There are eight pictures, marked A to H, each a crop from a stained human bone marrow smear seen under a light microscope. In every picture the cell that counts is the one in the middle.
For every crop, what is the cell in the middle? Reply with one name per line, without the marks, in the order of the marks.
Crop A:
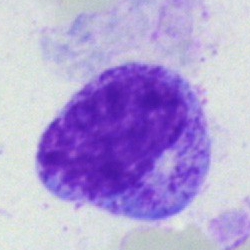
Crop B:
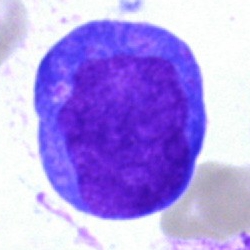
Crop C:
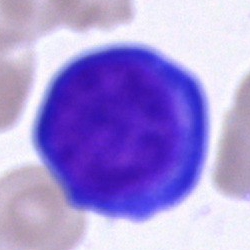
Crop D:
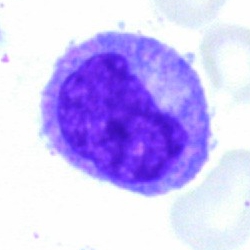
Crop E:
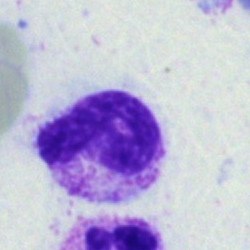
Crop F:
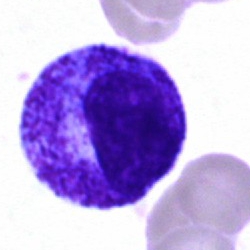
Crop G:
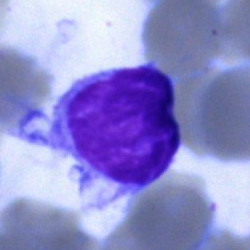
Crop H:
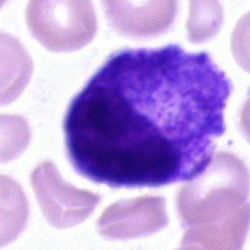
myelocyte
promyelocyte
proerythroblast
promyelocyte
segmented neutrophil
promyelocyte
hairy cell
promyelocyte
